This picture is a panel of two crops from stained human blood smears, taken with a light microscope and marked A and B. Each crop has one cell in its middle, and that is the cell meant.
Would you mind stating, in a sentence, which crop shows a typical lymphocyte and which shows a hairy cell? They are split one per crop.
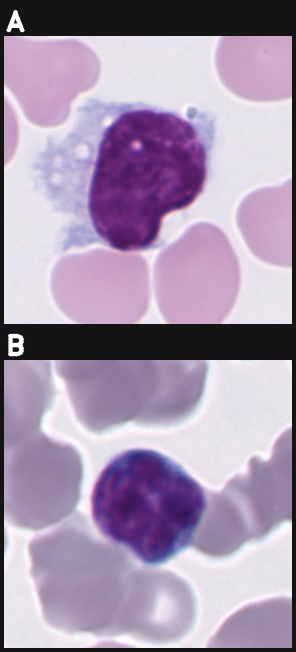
To sum up the two crops, crop A is a hairy cell and crop B is a typical lymphocyte.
